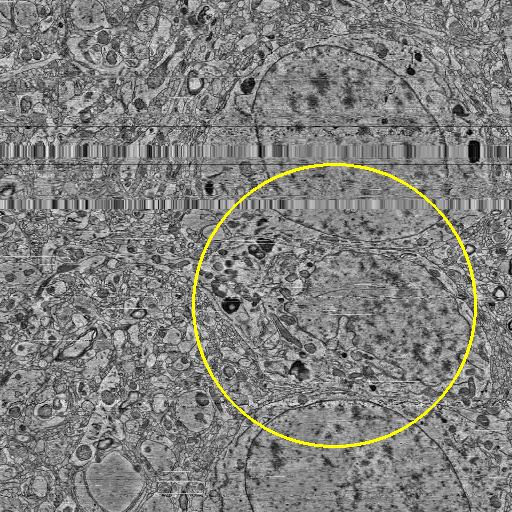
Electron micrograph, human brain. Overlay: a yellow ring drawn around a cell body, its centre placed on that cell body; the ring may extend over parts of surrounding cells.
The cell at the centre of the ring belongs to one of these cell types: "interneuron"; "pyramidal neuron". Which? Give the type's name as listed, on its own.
interneuron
